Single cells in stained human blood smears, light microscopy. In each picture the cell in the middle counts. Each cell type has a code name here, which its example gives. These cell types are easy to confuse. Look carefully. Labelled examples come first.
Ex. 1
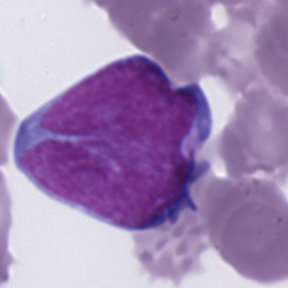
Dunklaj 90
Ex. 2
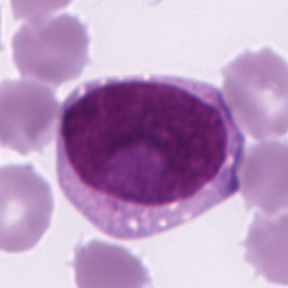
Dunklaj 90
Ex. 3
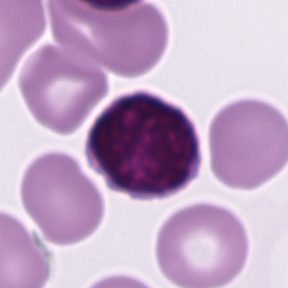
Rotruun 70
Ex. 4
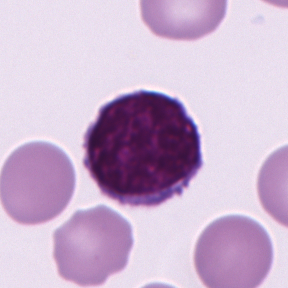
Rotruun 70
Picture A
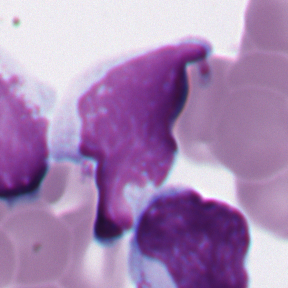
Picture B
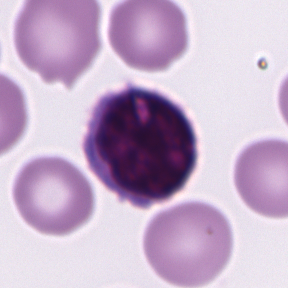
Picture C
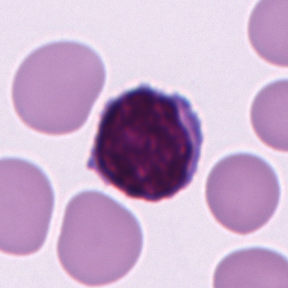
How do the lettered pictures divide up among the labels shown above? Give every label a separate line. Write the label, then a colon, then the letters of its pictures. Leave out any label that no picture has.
Rotruun 70: A, B, C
